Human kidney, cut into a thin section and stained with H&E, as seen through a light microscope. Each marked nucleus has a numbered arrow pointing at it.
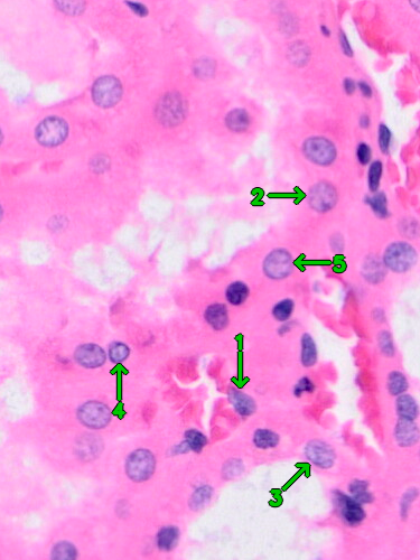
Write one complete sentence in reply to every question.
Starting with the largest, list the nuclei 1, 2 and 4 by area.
Largest first, the order by area is 2, 1, 4.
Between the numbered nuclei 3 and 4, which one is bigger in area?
Of the two, number 3 is bigger and takes up about 2 times the area of number 4.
